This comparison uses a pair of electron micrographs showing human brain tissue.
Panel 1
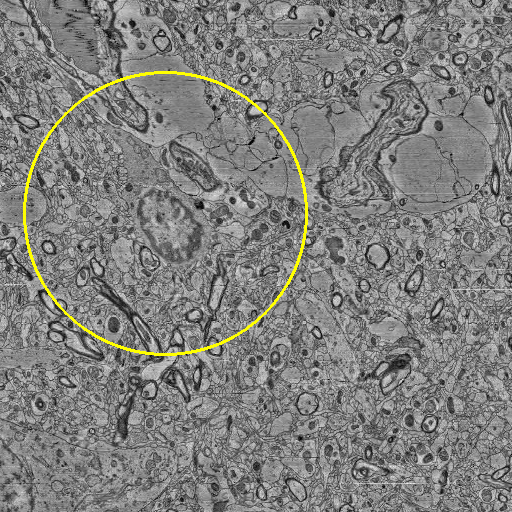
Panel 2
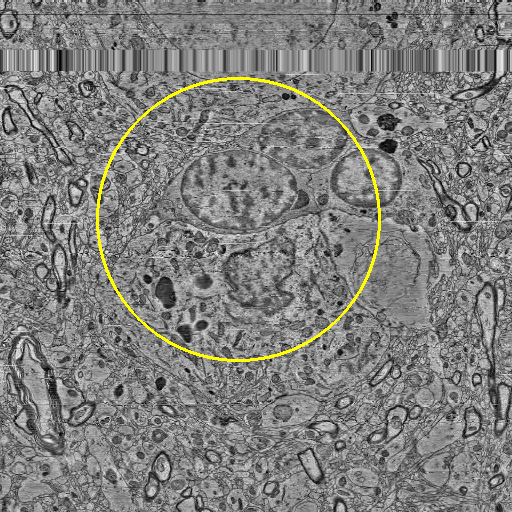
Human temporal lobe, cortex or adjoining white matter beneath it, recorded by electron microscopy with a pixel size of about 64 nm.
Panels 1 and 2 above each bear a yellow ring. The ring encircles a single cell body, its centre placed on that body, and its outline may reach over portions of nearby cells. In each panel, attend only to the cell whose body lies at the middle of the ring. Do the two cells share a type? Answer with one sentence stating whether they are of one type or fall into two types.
In Panel 1 and Panel 2, the cells at the centres of the rings are of one type.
